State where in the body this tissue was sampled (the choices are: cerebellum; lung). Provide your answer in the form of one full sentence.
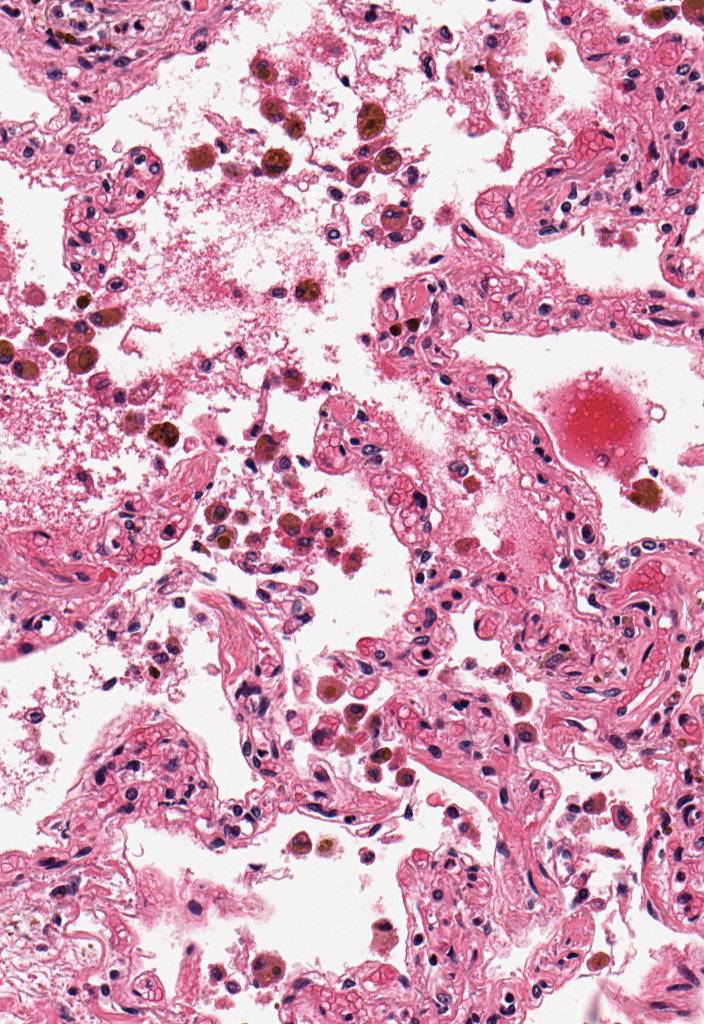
Tissue sampled from the lung forms this section.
